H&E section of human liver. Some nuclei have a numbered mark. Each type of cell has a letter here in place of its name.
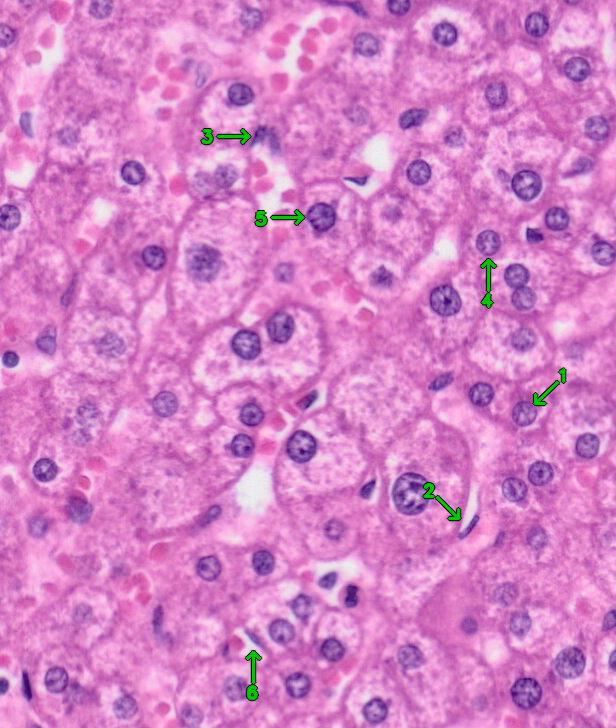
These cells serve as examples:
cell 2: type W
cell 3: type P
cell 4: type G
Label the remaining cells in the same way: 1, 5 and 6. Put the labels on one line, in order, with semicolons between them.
type G; type G; type W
